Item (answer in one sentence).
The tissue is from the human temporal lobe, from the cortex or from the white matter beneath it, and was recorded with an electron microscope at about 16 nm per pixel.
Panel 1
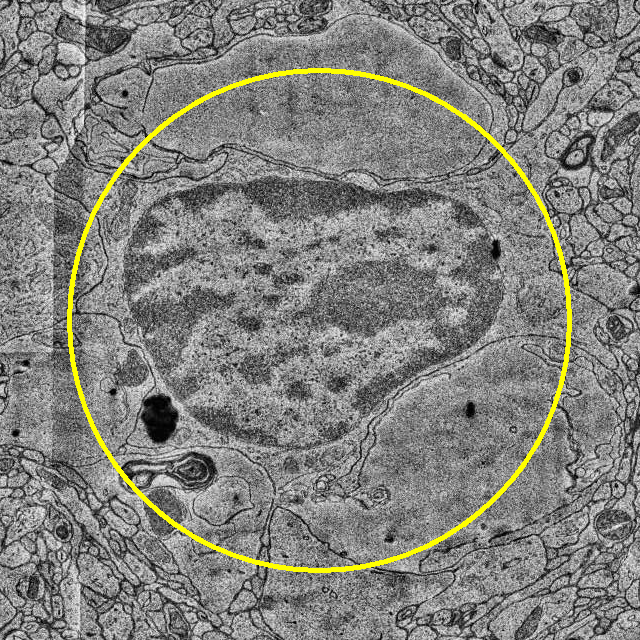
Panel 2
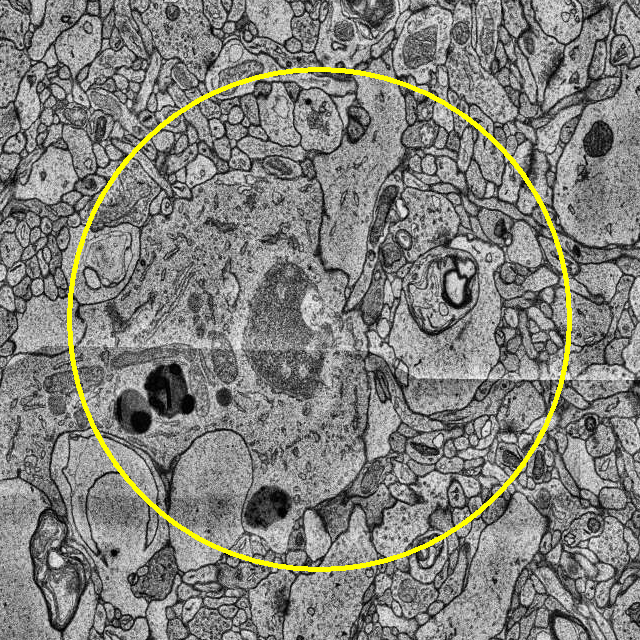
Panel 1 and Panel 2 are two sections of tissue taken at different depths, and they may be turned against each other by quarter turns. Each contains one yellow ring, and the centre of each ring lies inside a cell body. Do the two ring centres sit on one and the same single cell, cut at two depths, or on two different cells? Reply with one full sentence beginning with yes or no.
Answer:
Yes, the first and second rings frame the same single cell.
